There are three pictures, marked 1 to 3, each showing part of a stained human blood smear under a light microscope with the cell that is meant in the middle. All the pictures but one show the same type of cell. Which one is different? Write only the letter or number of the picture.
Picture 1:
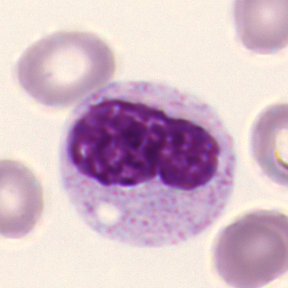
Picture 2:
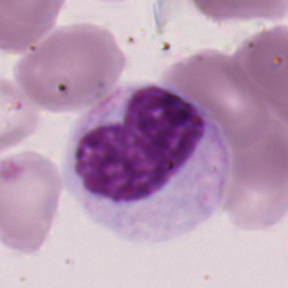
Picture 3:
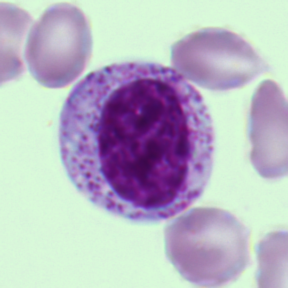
1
